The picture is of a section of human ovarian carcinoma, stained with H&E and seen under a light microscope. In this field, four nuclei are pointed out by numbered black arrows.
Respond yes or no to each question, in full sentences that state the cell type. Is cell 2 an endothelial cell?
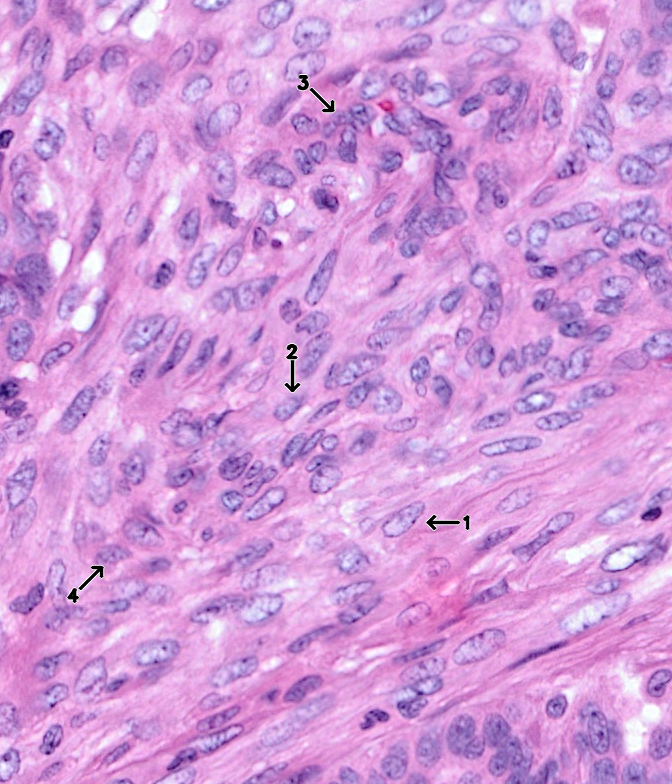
No, sorry, the cell labelled 2 is not an endothelial cell; it is a fibroblast.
